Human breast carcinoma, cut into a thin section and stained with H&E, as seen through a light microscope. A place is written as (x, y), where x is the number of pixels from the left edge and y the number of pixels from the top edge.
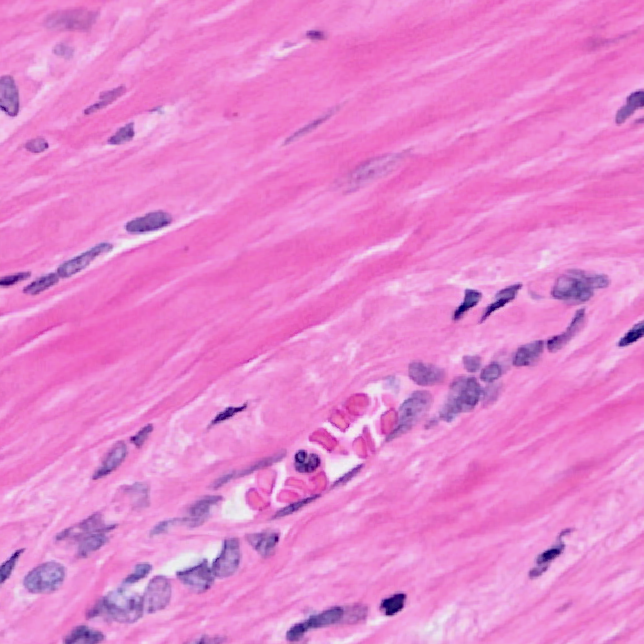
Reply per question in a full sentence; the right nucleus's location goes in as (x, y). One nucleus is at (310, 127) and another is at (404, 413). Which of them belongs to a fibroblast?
Between the pair, the nucleus at (310, 127) belongs to a fibroblast.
